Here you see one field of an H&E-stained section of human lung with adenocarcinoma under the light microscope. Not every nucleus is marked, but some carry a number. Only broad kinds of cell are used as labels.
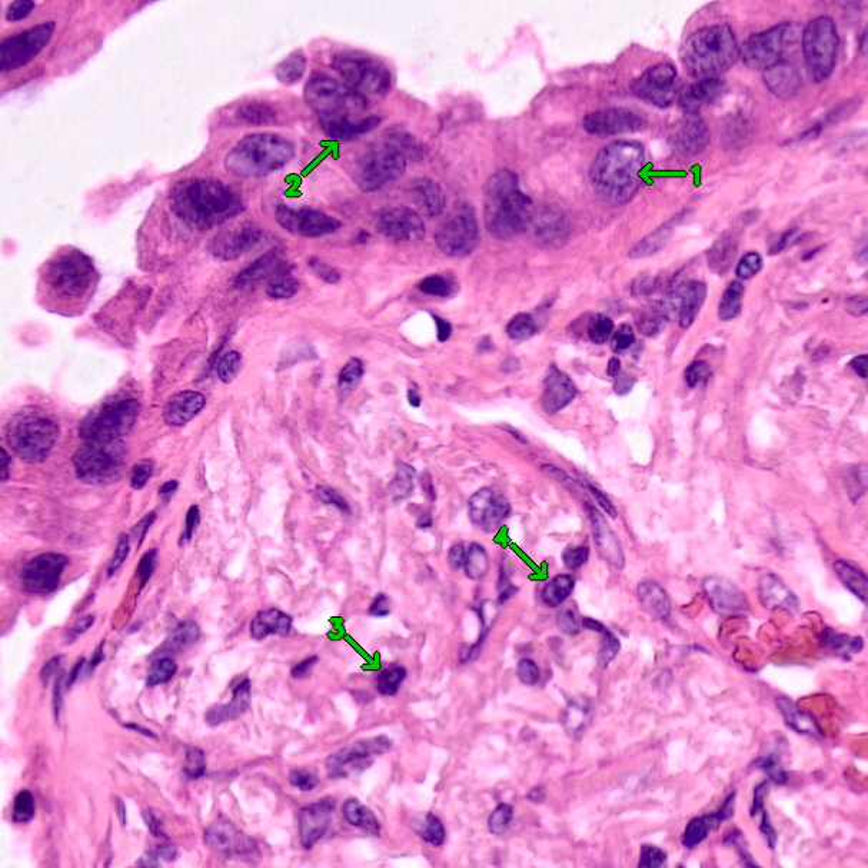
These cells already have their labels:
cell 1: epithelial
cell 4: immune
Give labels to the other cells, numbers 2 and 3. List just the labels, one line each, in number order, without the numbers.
epithelial
immune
